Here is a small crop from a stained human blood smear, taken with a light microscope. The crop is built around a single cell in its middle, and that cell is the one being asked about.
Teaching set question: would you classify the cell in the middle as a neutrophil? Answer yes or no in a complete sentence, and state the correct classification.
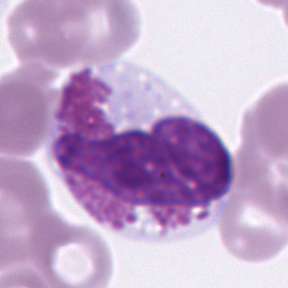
No, that would be an eosinophil, not a neutrophil, for the cell at the centre.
